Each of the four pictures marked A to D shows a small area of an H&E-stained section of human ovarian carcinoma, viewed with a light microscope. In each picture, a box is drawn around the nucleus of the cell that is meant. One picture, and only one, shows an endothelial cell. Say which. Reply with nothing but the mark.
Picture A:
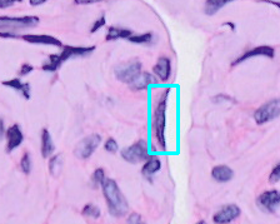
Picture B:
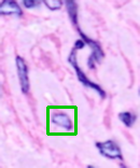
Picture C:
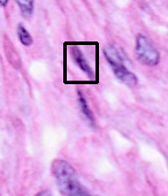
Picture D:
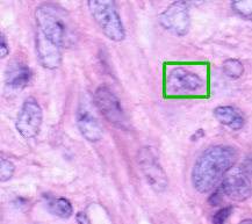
A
